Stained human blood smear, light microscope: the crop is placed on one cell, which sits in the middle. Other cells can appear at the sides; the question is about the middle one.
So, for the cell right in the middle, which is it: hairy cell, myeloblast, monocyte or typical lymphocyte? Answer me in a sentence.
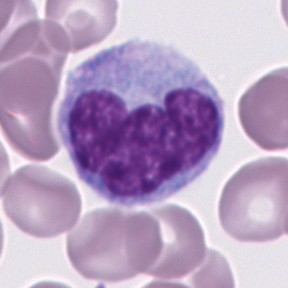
The cell marked by its central position in the crop is a monocyte.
